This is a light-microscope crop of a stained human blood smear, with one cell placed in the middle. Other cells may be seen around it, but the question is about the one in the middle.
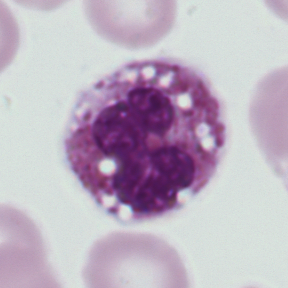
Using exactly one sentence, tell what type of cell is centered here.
Looking at the middle of the crop, the cell there is an eosinophil.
